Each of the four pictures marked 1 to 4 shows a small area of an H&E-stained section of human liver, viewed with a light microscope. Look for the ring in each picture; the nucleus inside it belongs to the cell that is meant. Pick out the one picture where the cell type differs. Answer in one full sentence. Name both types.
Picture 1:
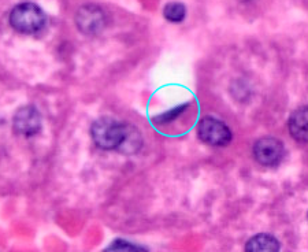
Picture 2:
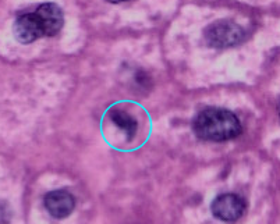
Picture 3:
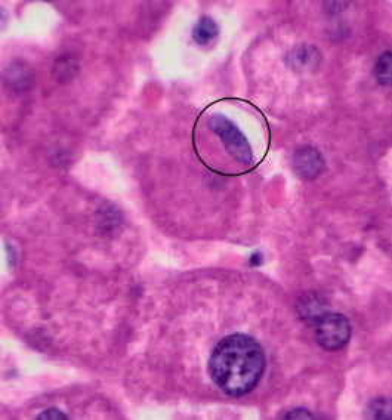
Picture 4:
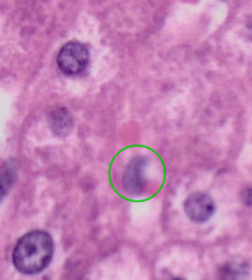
Picture 3 differs, because its cell is a Kupffer cell and the rest are endothelial cells.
